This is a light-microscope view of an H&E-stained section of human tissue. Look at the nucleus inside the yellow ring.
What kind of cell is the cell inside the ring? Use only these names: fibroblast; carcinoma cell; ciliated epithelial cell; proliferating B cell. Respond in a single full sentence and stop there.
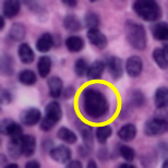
In this tissue sample, the cell inside the ring is a proliferating B cell.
